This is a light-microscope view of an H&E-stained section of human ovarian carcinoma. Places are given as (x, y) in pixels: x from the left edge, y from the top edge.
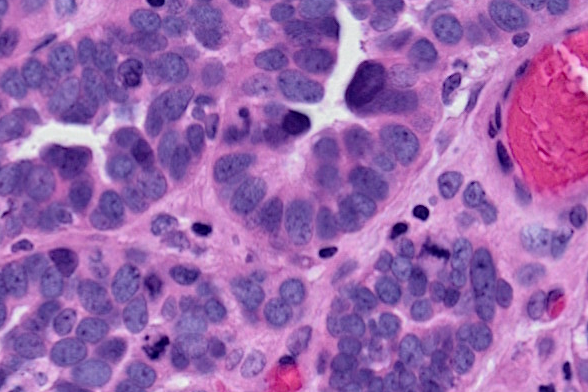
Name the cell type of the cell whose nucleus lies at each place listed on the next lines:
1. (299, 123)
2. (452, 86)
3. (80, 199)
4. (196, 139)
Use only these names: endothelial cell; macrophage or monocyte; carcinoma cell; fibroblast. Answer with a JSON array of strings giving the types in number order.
["carcinoma cell", "macrophage or monocyte", "carcinoma cell", "carcinoma cell"]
